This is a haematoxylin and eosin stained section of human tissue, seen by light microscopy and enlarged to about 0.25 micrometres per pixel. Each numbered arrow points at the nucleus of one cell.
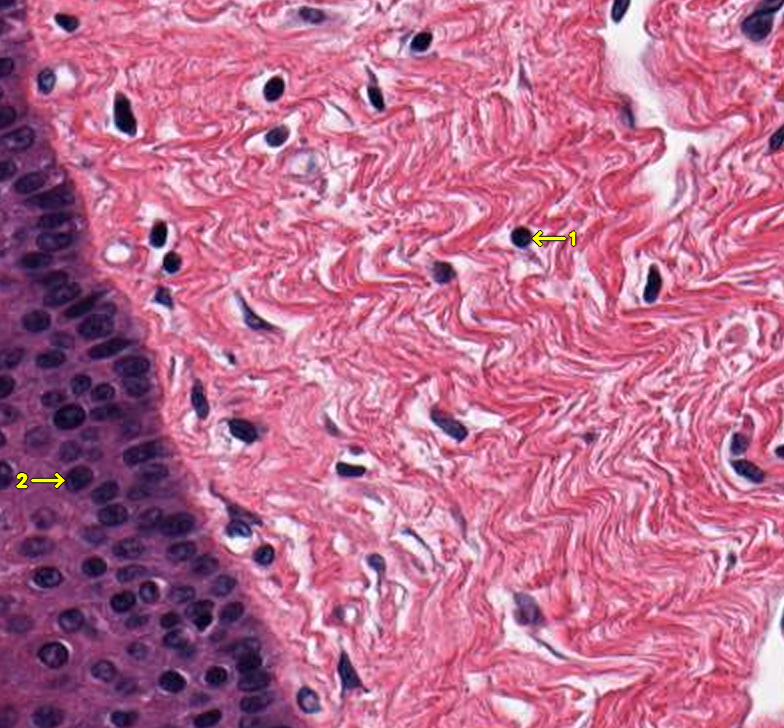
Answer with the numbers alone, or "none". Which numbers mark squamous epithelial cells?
2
